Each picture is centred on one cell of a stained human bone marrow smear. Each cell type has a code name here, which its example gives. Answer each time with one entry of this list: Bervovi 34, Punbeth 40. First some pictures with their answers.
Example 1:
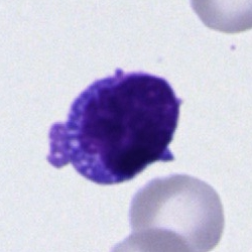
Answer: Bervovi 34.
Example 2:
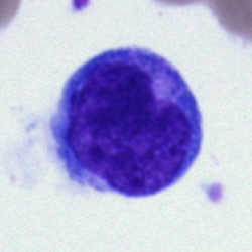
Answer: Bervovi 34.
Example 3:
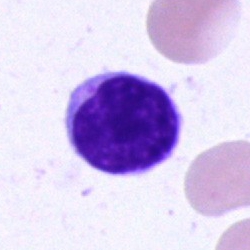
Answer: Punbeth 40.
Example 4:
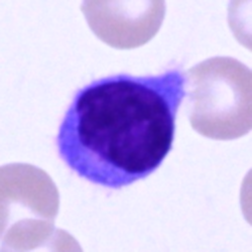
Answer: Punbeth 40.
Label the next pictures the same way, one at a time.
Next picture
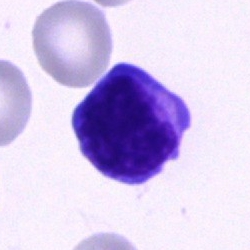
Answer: Bervovi 34.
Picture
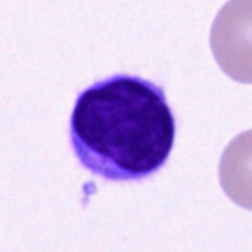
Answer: Punbeth 40.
